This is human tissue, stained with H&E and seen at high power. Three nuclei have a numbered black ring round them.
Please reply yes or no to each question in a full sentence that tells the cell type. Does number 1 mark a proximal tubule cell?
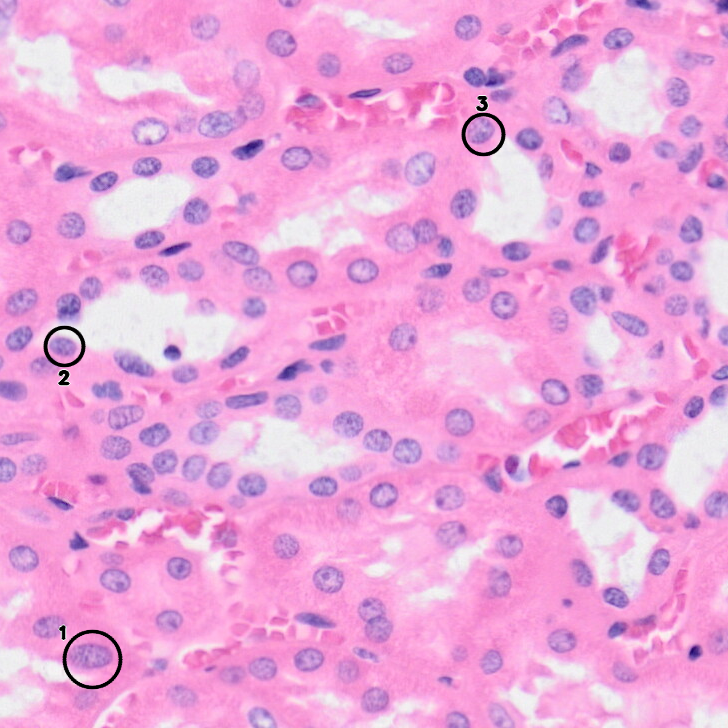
Yes, exactly, the cell numbered 1 is a proximal tubule cell.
